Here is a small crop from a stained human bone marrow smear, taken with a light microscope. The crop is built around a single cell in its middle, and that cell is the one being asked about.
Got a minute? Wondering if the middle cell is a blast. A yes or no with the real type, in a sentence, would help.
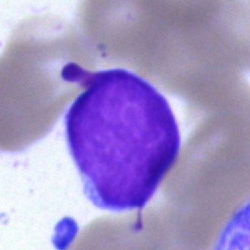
Yes, what sits in the centre of the crop is a blast.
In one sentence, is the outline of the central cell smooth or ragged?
Irregularity marks the cell border, whether as raggedness or as projections.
